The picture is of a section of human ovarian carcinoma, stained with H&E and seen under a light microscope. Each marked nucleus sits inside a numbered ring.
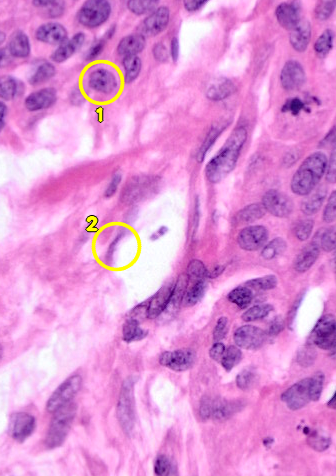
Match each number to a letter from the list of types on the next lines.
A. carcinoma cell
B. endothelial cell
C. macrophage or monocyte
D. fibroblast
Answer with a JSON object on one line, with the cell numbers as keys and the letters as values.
{"1": "C", "2": "D"}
